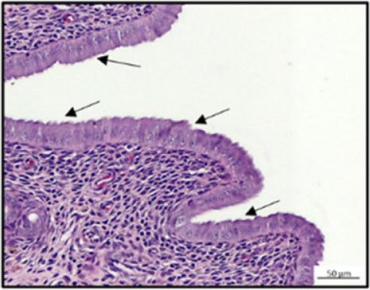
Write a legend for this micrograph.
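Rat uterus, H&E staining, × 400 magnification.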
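Uterine wall with a wide lumen lined by endometrial surface epithelium, the lining including ciliated cells. The lining folds along the cavity. Beneath it lies a cellular stroma of spindle-shaped cells with oval purple nuclei in a pink matrix, with small blood vessels containing red blood cells.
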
